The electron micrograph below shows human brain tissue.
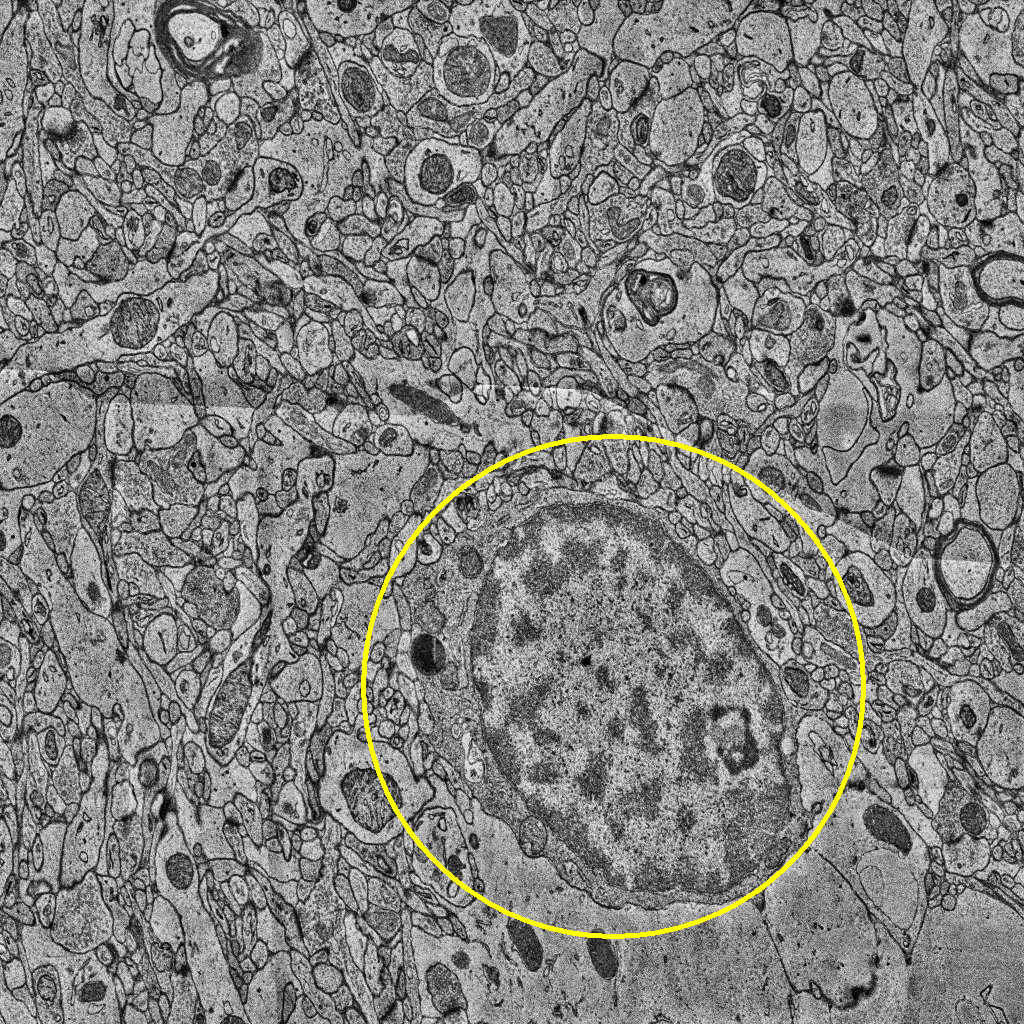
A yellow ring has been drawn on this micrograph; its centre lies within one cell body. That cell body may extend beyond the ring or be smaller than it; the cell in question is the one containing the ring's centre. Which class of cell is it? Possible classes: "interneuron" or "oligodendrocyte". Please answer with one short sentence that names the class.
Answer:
In the centre of the ring sits an oligodendrocyte.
